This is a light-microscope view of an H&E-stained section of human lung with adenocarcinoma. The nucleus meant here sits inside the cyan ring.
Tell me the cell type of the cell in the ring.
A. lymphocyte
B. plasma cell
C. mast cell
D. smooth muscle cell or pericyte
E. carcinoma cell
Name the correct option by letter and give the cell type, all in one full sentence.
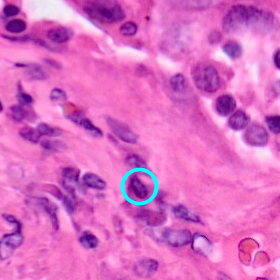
It is as option B has it, the cell in the ring being a plasma cell.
